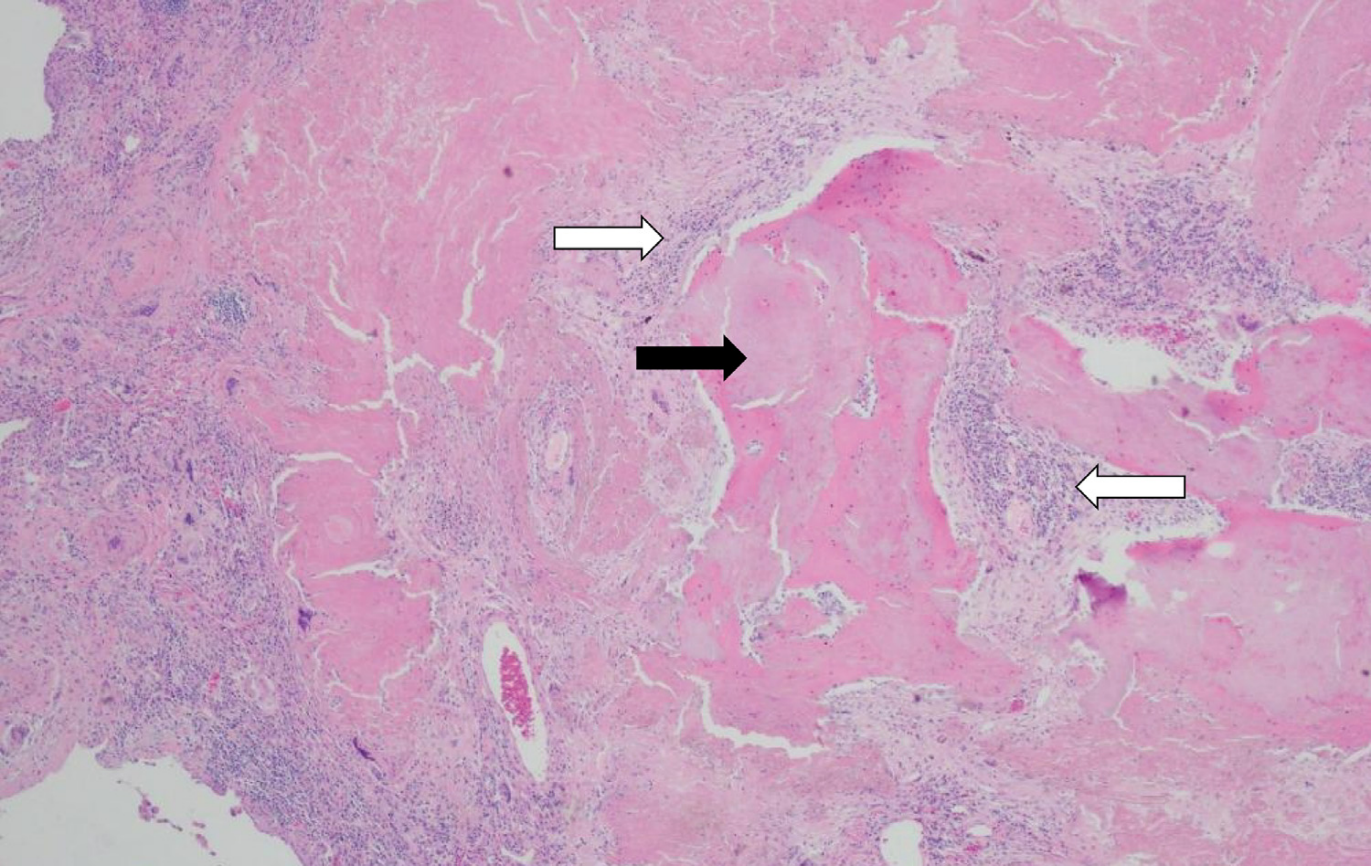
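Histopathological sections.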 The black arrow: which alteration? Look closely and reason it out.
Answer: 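The black arrow points at a broad pale-to-bright pink mass with no structure of its own. The mass has almost no nuclei. The material is cracked into clefts and blocks.
Amorphous hyaline acellular amyloid-like material.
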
